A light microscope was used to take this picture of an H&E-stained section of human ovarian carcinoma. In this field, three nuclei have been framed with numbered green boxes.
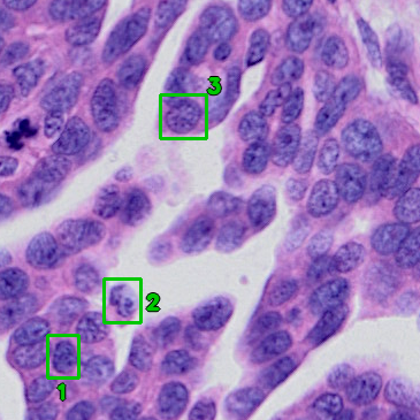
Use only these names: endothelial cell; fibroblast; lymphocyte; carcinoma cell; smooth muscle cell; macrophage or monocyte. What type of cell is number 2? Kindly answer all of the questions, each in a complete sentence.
Cell 2 should be recorded as a macrophage or monocyte.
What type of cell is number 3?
The cell with the number 3 is a carcinoma cell.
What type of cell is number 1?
The cell that bears the number 1 is a carcinoma cell.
